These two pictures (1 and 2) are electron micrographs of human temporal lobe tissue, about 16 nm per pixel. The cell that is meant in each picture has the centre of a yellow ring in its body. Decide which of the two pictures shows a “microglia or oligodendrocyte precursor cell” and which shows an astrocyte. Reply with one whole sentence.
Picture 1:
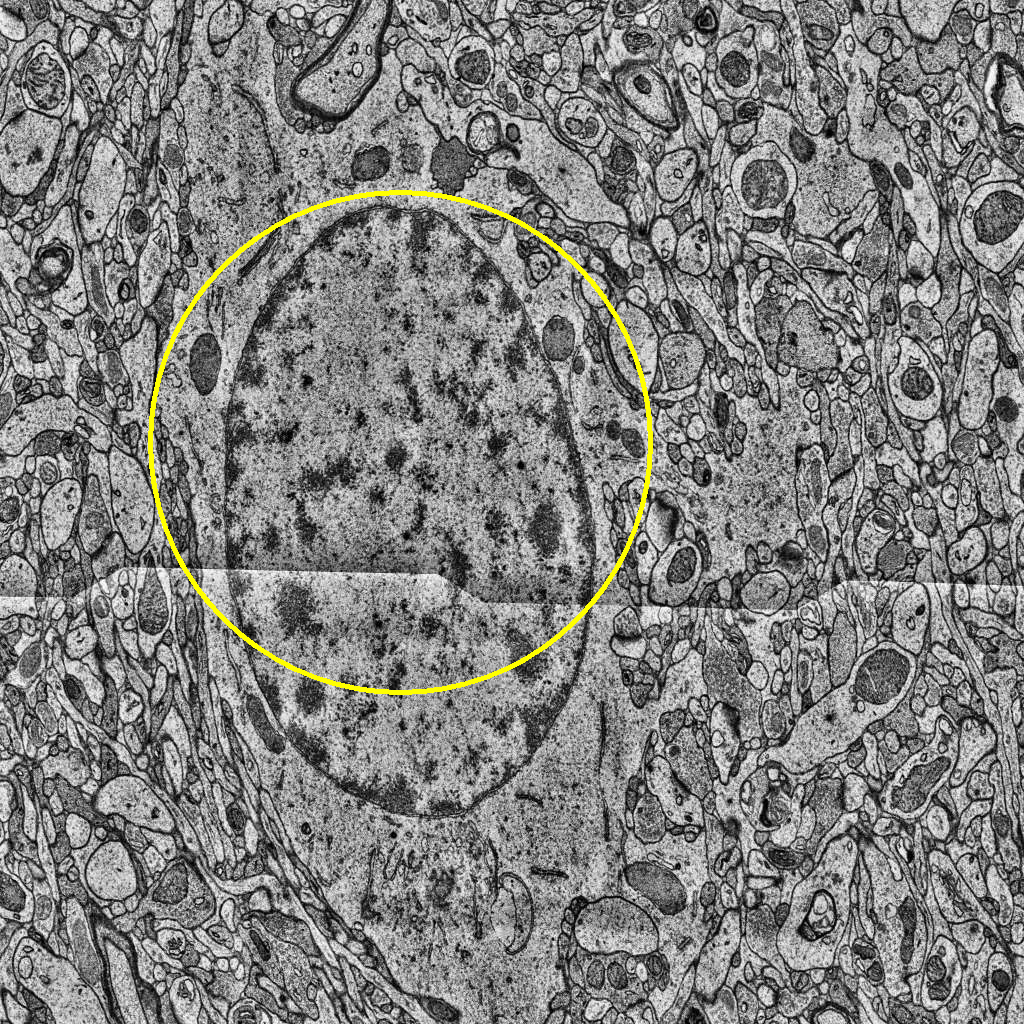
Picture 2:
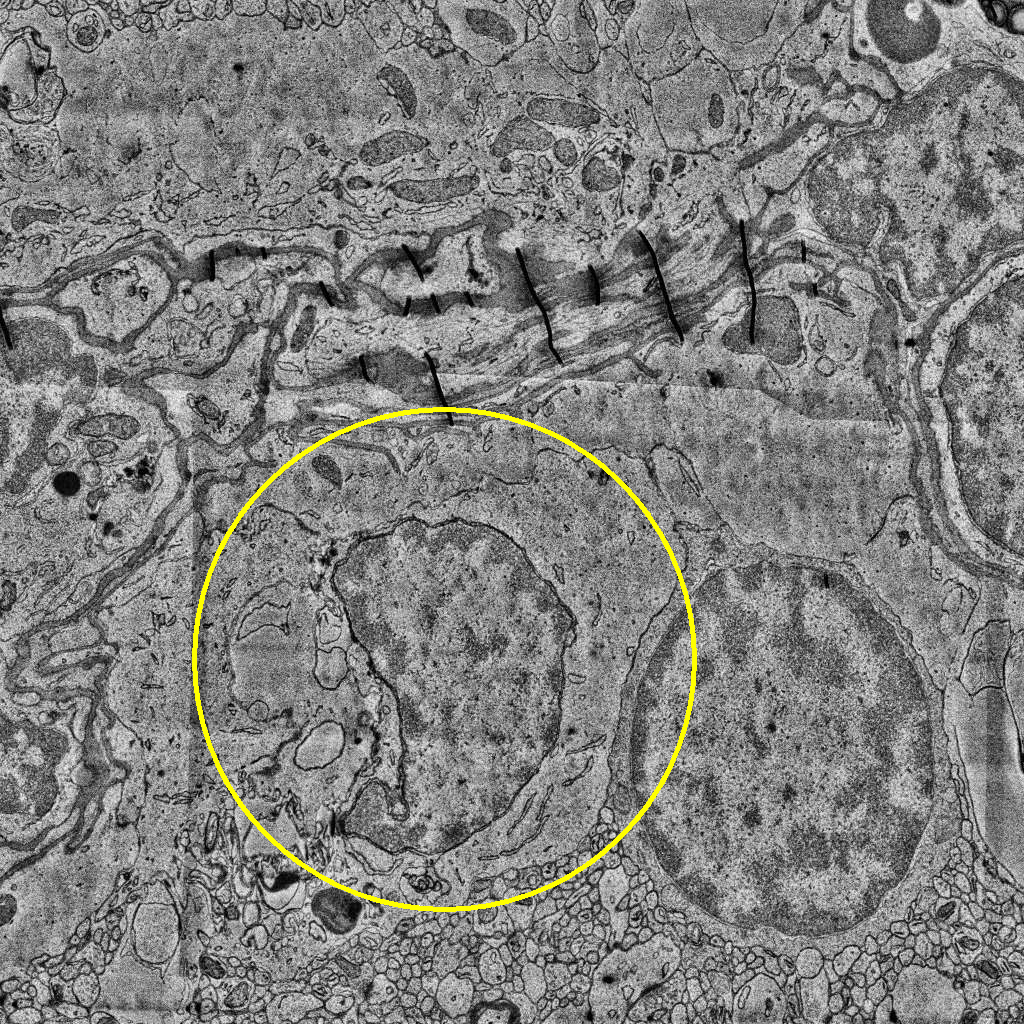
It is picture 1 that shows an astrocyte, and picture 2 that shows a “microglia or oligodendrocyte precursor cell”.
